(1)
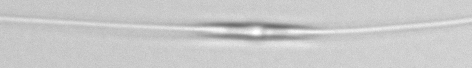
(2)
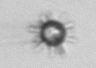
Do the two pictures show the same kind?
No: Cylindrotheca, then Rhabdosphaera.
